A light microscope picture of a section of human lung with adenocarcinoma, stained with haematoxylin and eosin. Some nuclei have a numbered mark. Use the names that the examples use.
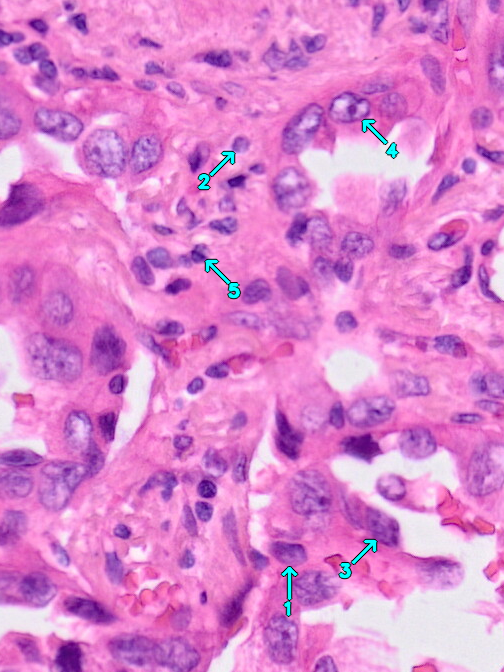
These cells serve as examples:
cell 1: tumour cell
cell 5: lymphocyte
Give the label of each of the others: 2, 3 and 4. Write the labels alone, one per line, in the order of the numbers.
lymphocyte
tumour cell
tumour cell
